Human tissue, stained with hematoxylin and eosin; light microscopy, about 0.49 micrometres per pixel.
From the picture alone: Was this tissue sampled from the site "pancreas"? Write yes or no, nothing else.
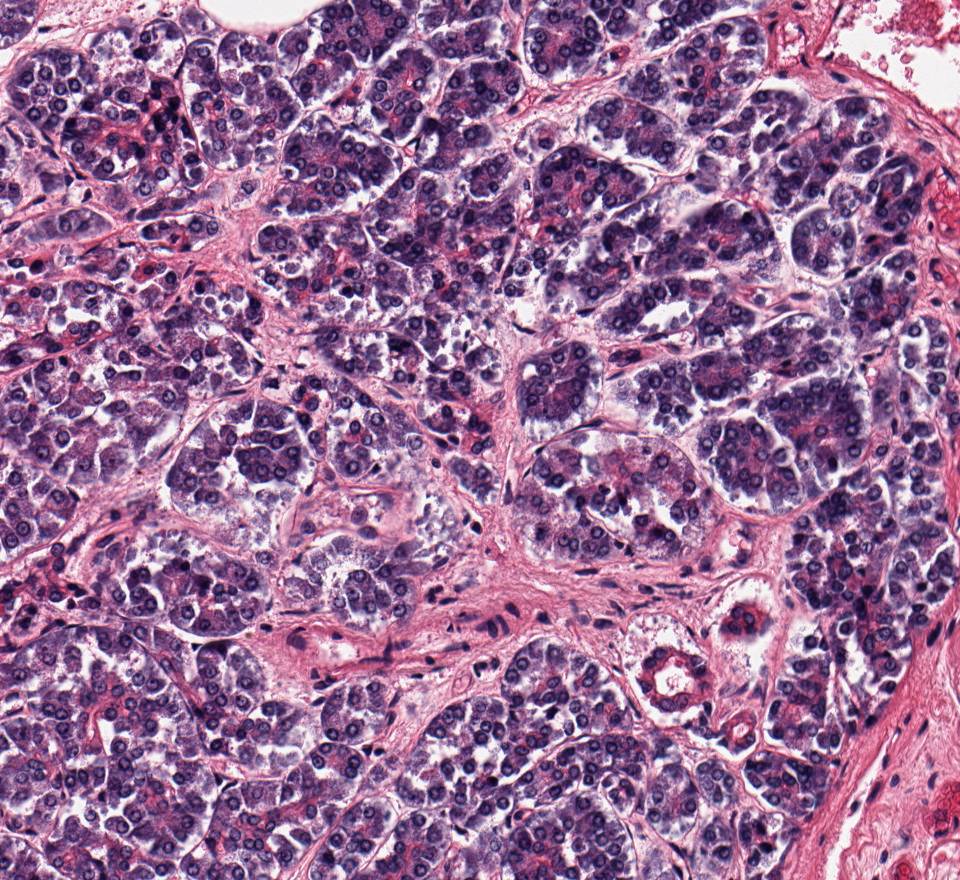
yes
